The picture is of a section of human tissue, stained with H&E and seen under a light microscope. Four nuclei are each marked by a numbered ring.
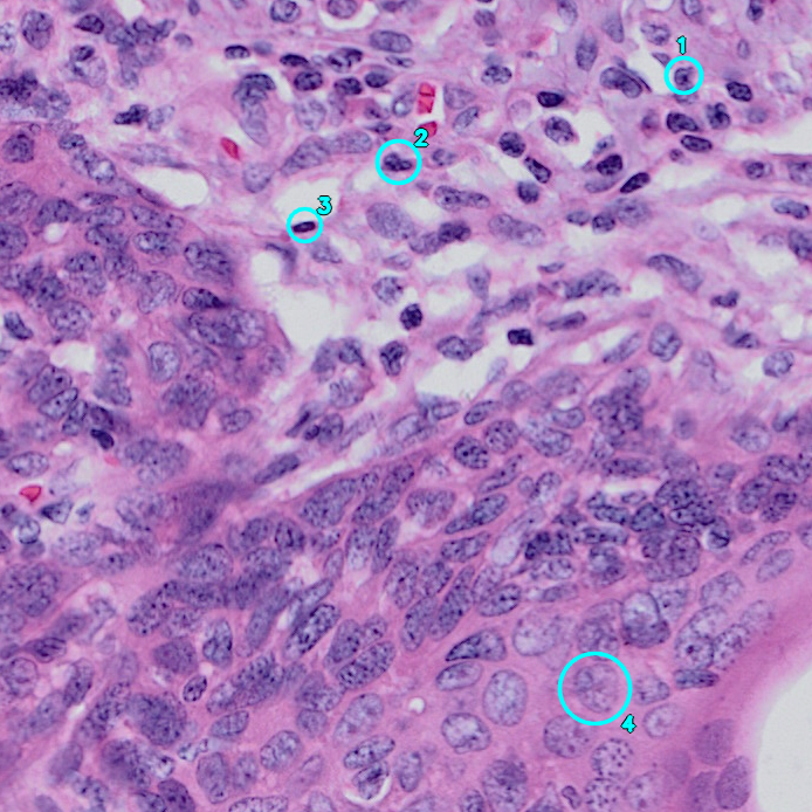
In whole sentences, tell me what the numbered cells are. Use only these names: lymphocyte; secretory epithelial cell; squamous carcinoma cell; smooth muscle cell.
Cell 1 is a lymphocyte, cell 2 is a lymphocyte, cell 3 is a lymphocyte and cell 4 is a squamous carcinoma cell.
